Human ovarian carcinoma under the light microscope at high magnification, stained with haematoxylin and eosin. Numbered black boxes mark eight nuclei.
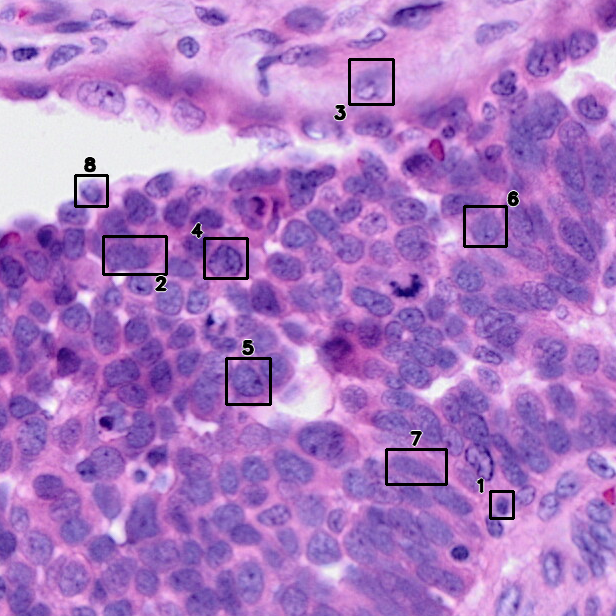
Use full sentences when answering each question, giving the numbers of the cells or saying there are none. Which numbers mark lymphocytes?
Cell 1 is a lymphocyte, while all remaining marked cells are of other types.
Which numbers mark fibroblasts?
Only one choice fits: cell 3 is a fibroblast, and no other.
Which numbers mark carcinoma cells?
The cells carrying labels 2, 4, 5, 6 and 7 are carcinoma cells.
